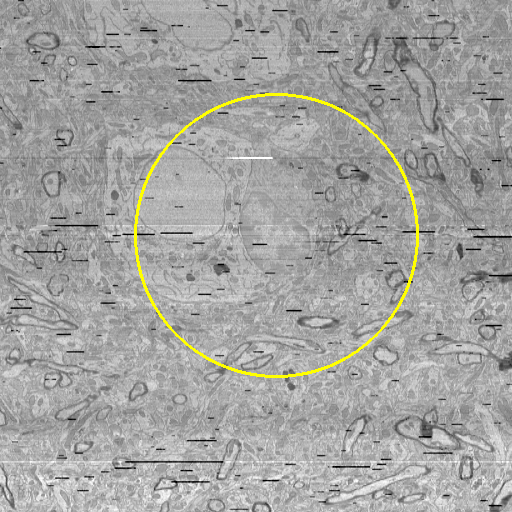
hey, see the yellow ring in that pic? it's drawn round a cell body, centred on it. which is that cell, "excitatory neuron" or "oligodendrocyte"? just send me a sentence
The cell in the ring is an oligodendrocyte.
